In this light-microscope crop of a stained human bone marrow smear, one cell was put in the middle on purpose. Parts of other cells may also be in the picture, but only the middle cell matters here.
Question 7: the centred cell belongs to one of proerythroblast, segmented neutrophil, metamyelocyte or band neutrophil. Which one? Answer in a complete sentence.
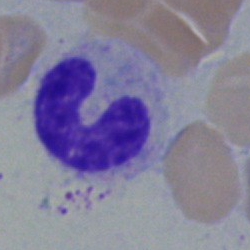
At the center of the crop sits a band neutrophil.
